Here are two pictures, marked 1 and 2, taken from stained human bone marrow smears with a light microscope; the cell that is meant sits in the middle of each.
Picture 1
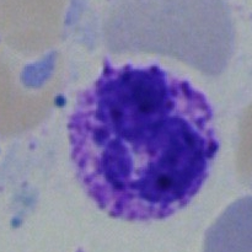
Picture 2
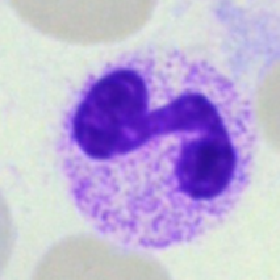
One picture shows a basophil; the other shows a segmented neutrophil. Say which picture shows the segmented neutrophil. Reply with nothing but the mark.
2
